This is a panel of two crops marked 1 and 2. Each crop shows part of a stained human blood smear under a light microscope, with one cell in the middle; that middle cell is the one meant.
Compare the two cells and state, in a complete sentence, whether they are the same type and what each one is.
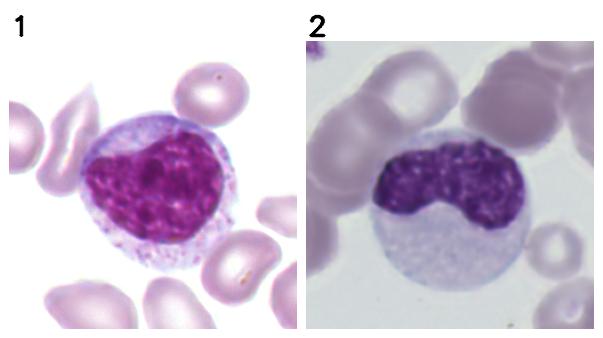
Yes, both crops show metamyelocytes in the centre of the field.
